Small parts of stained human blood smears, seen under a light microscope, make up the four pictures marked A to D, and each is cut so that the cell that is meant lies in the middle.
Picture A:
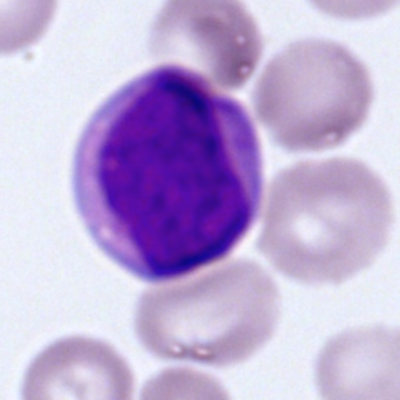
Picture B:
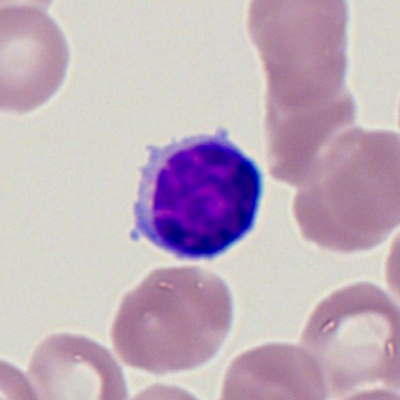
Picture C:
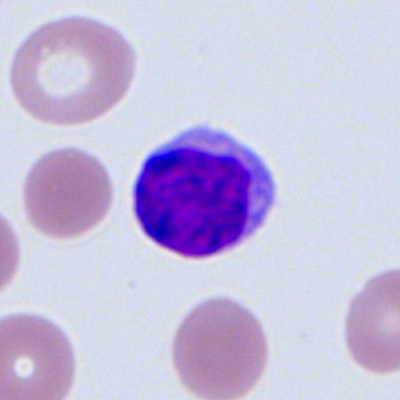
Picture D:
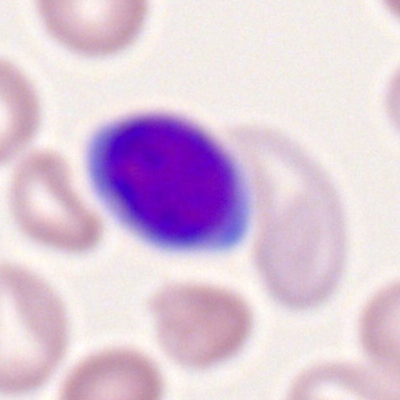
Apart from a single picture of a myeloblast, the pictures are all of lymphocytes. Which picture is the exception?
A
